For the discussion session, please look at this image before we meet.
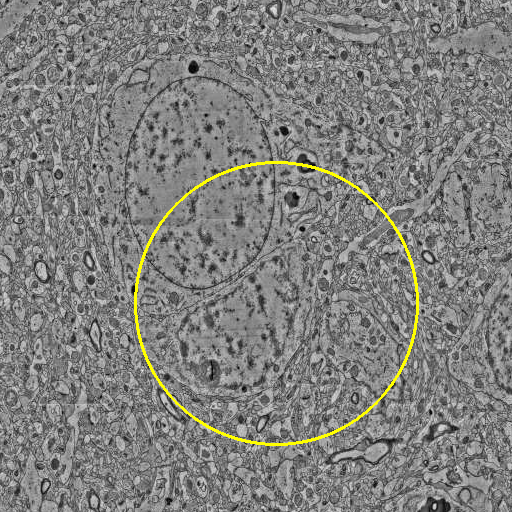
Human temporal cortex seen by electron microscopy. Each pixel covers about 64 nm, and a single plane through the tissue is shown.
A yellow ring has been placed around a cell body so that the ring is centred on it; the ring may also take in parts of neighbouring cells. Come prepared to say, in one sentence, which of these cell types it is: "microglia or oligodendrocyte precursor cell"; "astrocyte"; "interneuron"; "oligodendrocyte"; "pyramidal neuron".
The cell centred in the ring is an interneuron.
